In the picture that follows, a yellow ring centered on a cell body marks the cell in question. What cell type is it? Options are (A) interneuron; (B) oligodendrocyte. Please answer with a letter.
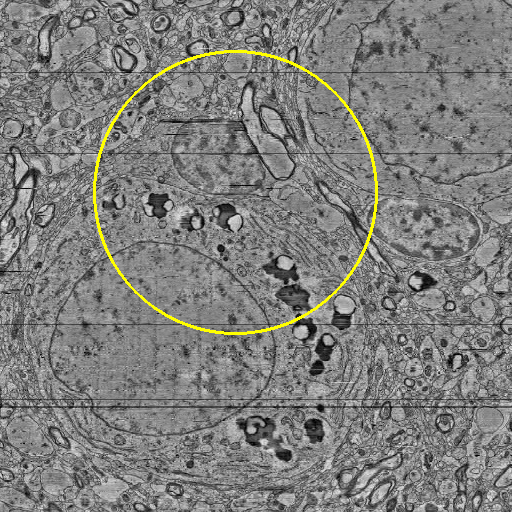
B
